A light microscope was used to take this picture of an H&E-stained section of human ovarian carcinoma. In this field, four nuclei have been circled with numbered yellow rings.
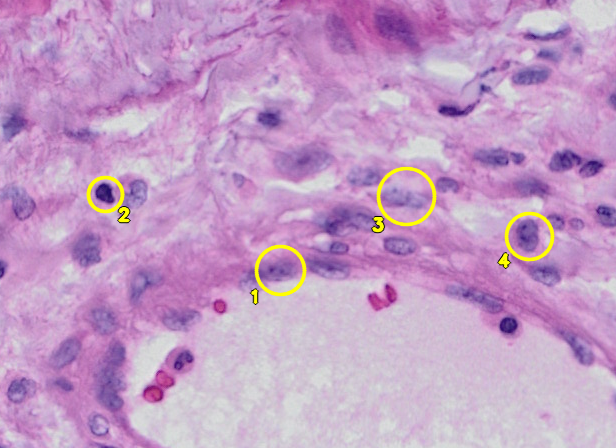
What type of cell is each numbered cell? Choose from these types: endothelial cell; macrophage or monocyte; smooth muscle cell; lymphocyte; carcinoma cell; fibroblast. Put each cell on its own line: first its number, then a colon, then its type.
1: endothelial cell
2: lymphocyte
3: fibroblast
4: macrophage or monocyte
